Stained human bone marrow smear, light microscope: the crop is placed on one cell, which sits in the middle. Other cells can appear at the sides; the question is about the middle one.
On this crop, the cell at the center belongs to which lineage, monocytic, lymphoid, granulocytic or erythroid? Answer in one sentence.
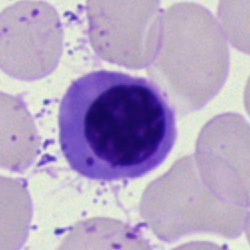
The cell positioned centrally in this crop arises from the erythroid lineage.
